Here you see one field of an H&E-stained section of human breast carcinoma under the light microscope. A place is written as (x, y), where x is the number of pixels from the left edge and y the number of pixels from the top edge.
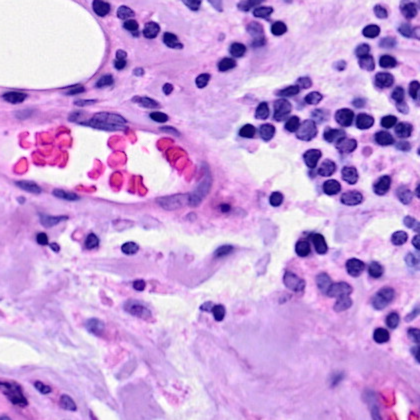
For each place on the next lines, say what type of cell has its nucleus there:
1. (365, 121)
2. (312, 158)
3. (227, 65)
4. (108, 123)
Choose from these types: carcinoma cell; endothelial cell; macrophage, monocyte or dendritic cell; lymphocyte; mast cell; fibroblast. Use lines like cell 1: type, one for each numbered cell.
cell 1: lymphocyte
cell 2: lymphocyte
cell 3: lymphocyte
cell 4: endothelial cell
